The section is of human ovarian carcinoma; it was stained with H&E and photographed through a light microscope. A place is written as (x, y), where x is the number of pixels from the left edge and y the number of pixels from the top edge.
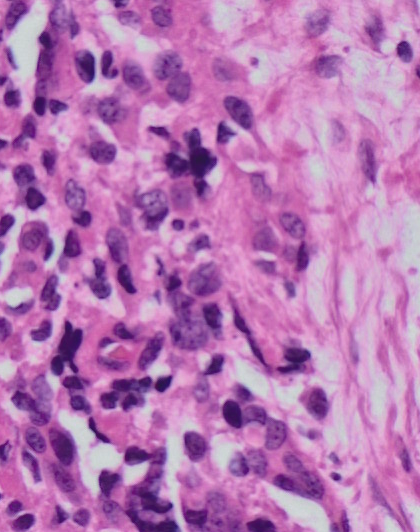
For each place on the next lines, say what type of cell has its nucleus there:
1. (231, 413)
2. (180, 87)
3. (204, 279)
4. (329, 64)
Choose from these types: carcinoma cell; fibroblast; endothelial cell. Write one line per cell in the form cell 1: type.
cell 1: carcinoma cell
cell 2: carcinoma cell
cell 3: carcinoma cell
cell 4: fibroblast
